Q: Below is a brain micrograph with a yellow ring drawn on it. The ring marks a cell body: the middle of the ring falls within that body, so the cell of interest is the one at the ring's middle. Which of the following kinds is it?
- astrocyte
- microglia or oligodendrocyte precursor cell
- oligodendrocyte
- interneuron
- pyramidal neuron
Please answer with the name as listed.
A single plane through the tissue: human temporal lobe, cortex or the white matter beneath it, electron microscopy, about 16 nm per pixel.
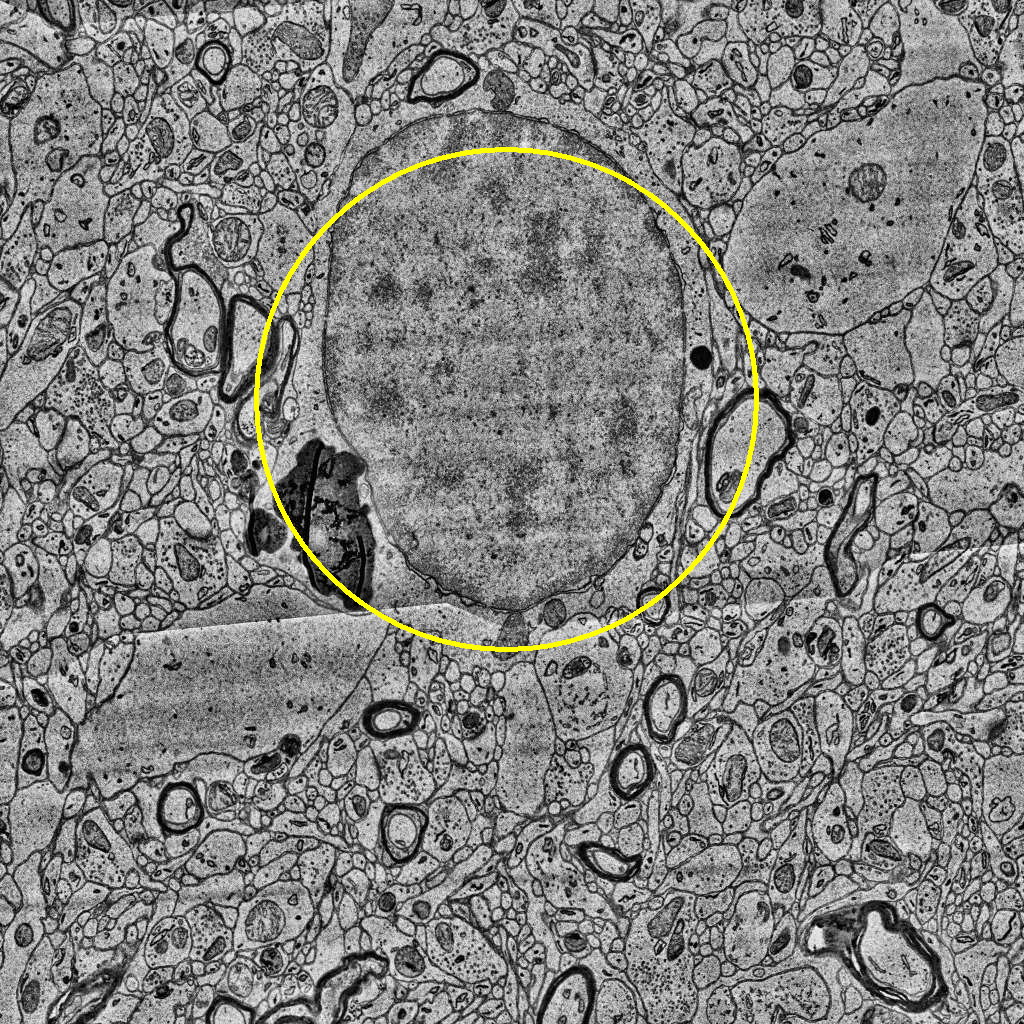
oligodendrocyte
